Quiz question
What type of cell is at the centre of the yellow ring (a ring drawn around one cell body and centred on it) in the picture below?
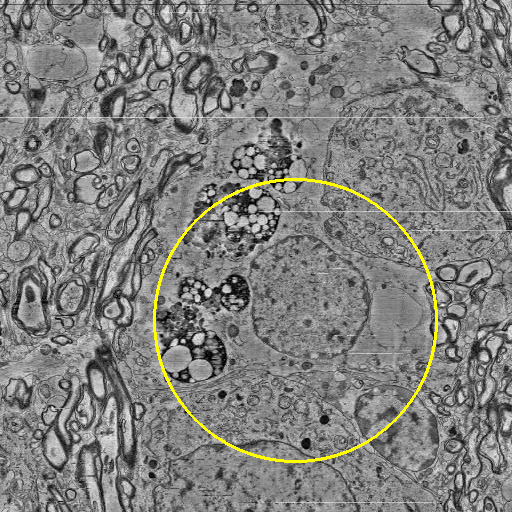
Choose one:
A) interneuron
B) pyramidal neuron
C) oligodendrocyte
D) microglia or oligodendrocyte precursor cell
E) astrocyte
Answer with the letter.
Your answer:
E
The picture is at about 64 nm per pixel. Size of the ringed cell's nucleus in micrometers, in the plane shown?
Roughly 8 micrometres across, measured in this plane.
